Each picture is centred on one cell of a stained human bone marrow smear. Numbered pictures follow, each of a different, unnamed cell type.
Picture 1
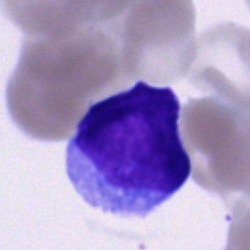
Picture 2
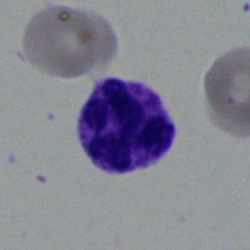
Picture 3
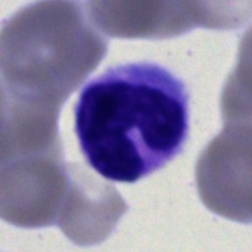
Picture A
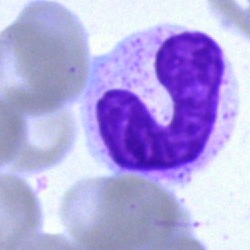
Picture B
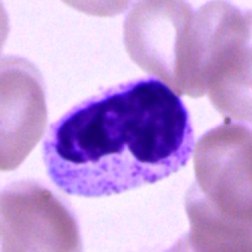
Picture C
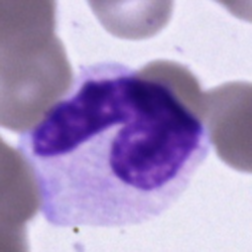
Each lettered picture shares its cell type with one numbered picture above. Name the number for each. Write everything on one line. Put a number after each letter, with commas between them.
A 3, B 3, C 3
